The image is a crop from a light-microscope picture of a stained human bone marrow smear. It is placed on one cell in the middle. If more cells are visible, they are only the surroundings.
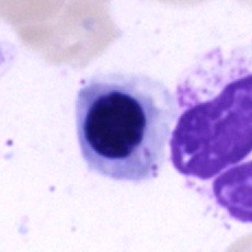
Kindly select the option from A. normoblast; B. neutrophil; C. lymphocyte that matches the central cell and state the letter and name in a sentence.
In this crop the middle cell is a normoblast, so option A is the correct answer.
